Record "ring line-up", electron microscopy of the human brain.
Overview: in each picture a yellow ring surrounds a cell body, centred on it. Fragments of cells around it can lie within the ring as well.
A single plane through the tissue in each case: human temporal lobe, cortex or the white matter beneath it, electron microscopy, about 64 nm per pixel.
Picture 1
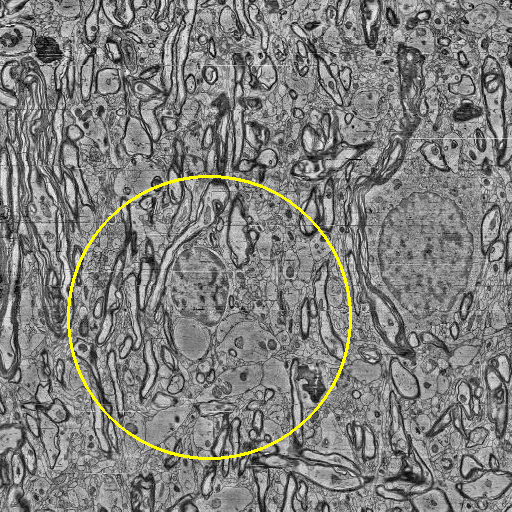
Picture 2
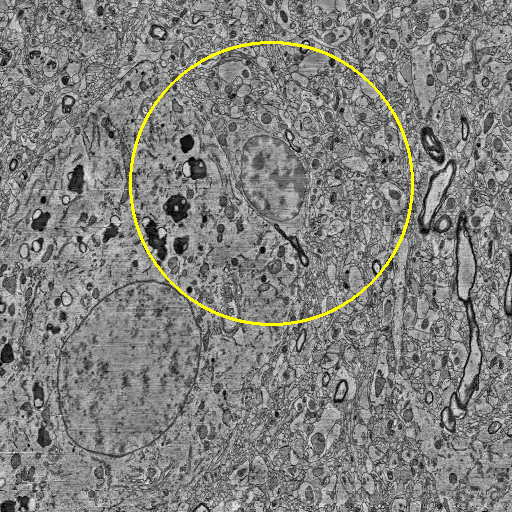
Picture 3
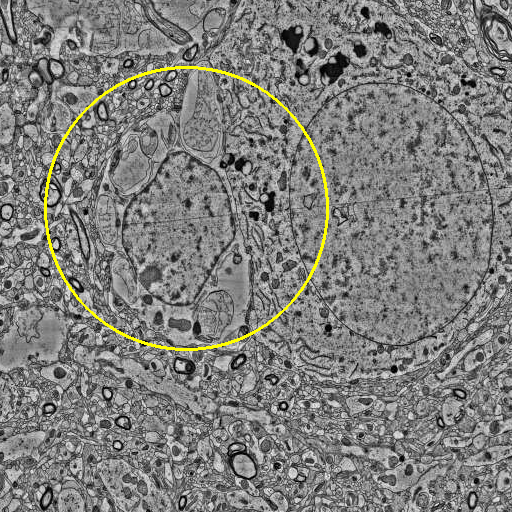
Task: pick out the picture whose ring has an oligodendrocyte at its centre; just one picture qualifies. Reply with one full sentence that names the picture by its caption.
Going by the cell at the ring's centre, the right choice is Picture 2.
